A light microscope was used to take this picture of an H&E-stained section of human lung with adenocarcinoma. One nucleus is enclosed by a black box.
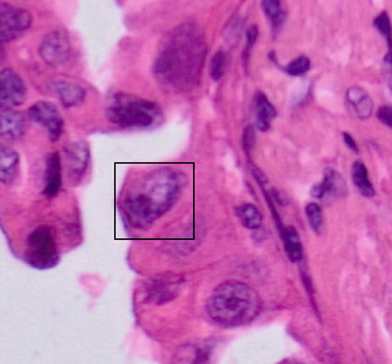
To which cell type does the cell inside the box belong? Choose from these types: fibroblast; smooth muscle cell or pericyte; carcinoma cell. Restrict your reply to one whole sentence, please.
As far as its identity is concerned, the cell inside the box is a carcinoma cell.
